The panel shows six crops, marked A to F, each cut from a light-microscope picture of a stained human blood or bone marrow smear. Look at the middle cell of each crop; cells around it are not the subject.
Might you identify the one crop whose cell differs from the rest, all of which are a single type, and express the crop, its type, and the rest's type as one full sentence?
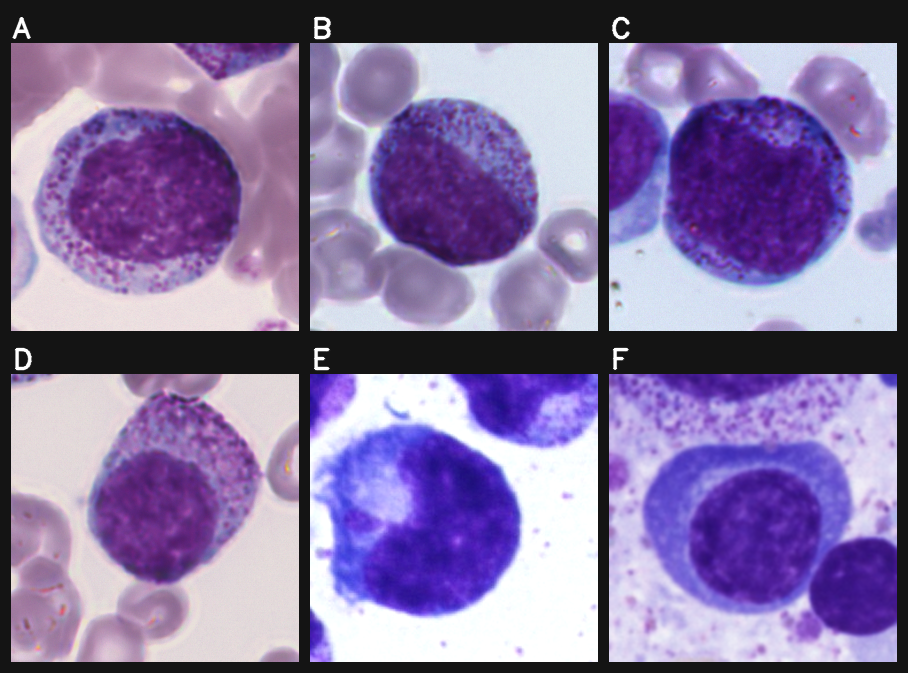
Crop F, showing a plasma cell, is the exception; the others all show promyelocytes.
